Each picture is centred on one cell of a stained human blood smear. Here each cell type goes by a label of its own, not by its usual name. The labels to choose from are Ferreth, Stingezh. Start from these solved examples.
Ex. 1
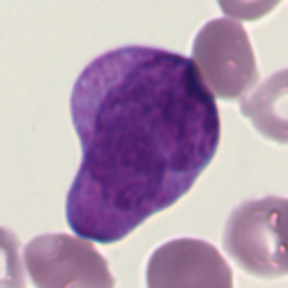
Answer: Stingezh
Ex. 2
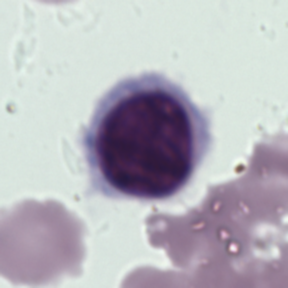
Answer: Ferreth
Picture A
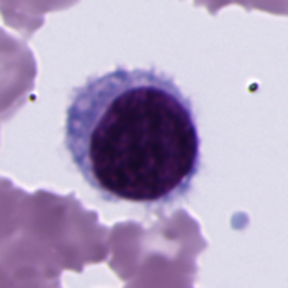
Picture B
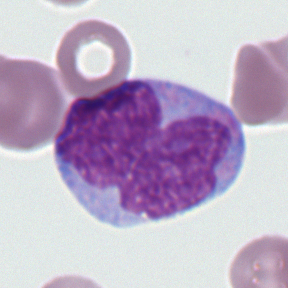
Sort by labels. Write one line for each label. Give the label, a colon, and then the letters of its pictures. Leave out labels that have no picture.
Ferreth: A
Stingezh: B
